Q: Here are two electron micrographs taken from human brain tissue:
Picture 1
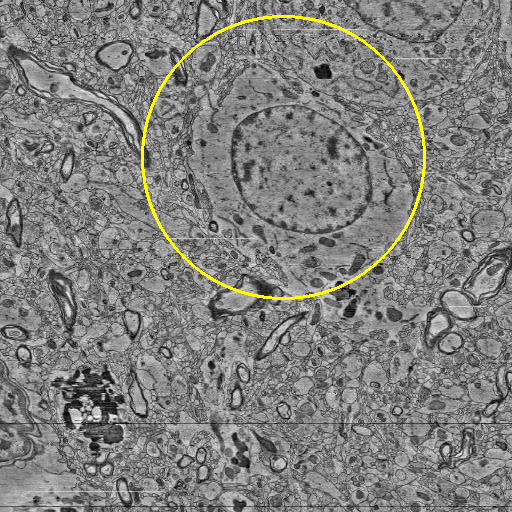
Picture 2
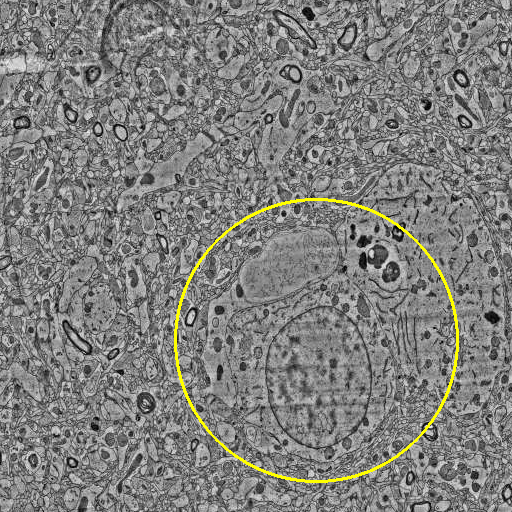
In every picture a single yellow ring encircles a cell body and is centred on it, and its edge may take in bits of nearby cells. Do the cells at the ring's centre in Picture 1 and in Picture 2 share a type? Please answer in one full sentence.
No, the cells at the ring's centre in Picture 1 and Picture 2 are of two types.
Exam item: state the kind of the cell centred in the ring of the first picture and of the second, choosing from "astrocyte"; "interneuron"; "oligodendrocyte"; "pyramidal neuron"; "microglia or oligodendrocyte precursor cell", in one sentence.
The first picture shows an astrocyte at the ring centre and the second shows a pyramidal neuron.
